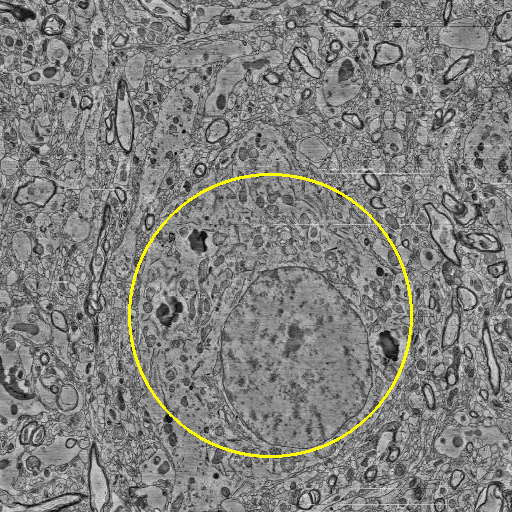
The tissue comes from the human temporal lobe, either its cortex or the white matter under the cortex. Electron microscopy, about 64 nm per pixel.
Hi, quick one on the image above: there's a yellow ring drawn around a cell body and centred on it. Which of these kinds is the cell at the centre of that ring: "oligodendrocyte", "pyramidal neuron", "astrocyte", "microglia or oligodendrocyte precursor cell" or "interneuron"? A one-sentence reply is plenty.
The cell at the centre of the ring is an interneuron.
